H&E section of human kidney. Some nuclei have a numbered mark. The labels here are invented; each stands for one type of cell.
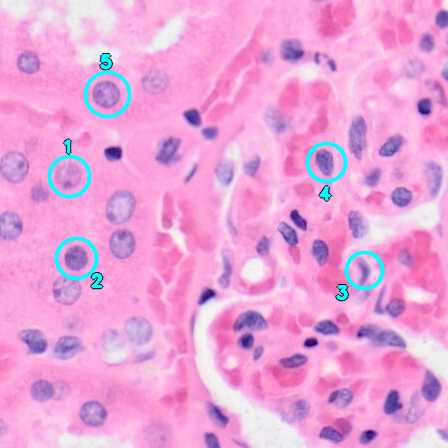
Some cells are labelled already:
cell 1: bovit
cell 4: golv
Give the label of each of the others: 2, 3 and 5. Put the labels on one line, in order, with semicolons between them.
bovit; golv; bovit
